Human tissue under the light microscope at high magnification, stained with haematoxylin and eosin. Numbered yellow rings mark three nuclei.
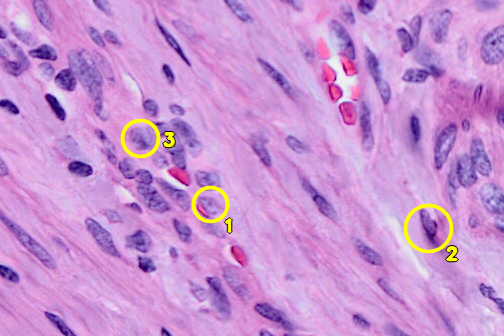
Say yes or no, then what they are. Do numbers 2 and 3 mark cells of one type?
No, the cell at number 2 is a macrophage or monocyte, and the cell at number 3 is an endothelial cell.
